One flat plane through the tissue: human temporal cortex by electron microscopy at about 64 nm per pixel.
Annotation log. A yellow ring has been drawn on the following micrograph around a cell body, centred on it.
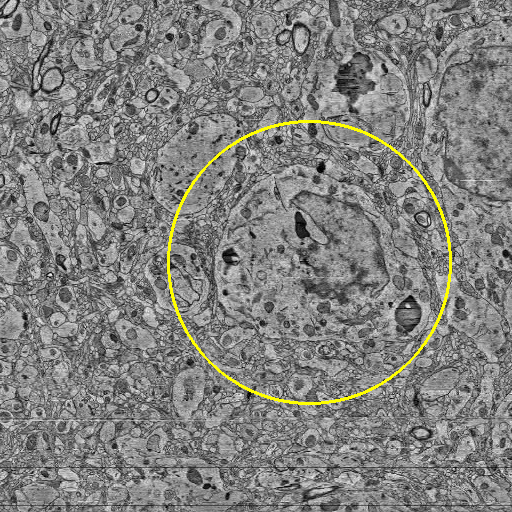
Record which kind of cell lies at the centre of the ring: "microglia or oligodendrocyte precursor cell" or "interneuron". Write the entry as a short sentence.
The cell the ring is centred on is an interneuron.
